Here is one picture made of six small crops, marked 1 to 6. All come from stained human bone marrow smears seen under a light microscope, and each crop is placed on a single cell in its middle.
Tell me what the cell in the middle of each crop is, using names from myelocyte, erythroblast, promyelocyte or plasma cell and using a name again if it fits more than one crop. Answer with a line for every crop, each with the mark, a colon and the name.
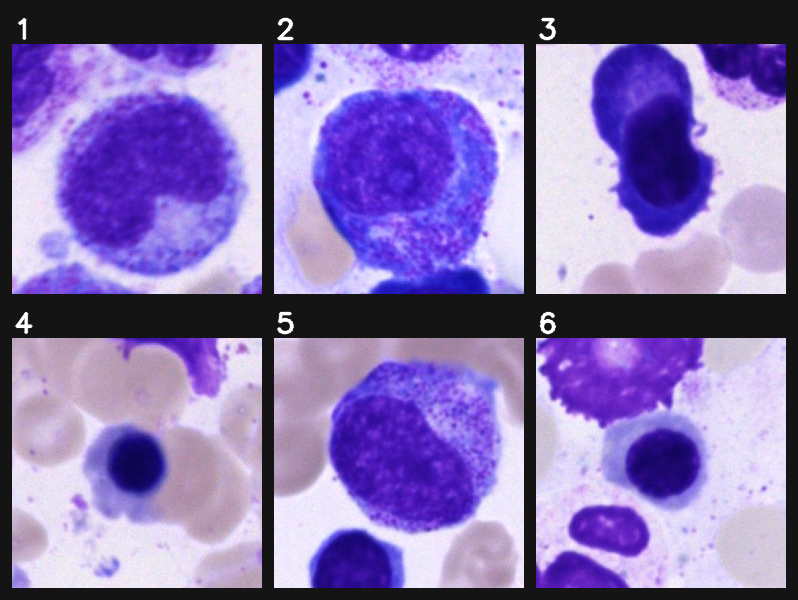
1: promyelocyte
2: promyelocyte
3: plasma cell
4: erythroblast
5: promyelocyte
6: erythroblast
